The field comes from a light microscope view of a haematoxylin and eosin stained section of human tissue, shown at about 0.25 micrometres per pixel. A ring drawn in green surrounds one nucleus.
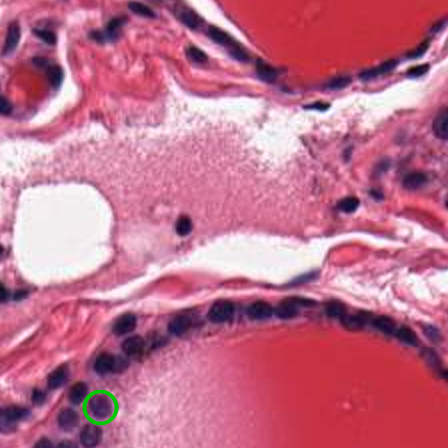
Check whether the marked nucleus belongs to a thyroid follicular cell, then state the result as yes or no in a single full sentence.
Yes, the marked nucleus is part of a thyroid follicular cell.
